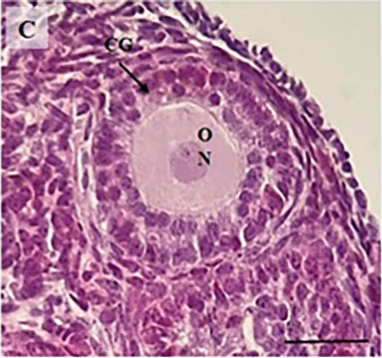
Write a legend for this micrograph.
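Ovarian follicle with a large central oocyte surrounded by several layers of granulosa cells. The granulosa cells are cuboidal to rounded with dark purple nuclei and little cytoplasm, packed in concentric layers without any fluid-filled cavity. Outside them, flattened spindle-shaped stromal cells form a thin concentric sheath around the follicle. The structure lies near the surface of the tissue.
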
